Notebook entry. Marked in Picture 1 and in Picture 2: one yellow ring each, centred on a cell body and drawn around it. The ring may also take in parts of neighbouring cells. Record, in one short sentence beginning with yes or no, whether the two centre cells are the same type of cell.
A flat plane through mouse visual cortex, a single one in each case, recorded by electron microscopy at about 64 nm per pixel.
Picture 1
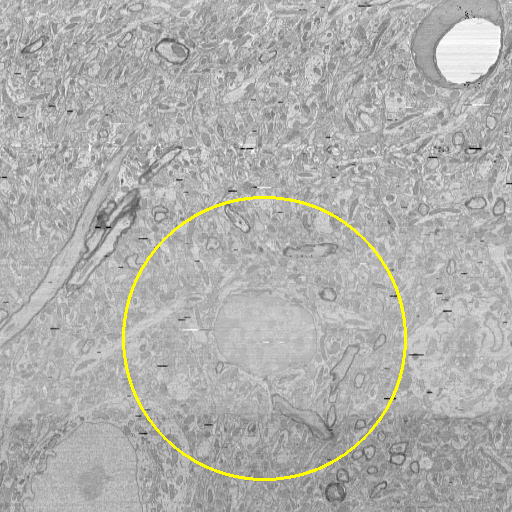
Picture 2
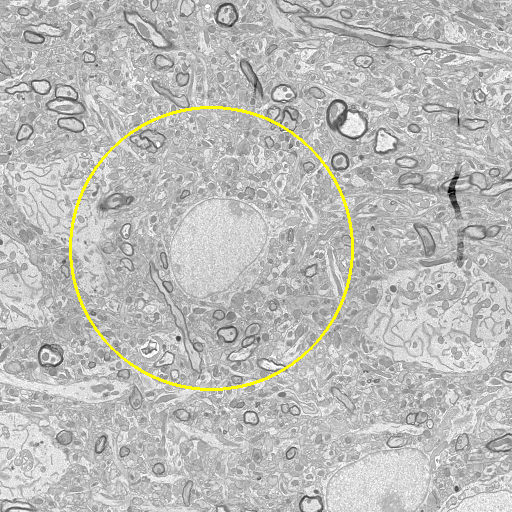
No, they are two types of cell.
